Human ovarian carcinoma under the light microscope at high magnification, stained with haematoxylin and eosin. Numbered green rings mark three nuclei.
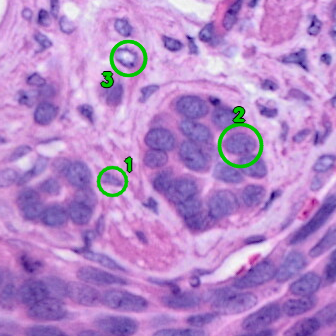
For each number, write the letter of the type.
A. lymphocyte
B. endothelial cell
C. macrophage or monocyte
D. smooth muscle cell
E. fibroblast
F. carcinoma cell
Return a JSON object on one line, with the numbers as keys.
{"1": "E", "2": "F", "3": "E"}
